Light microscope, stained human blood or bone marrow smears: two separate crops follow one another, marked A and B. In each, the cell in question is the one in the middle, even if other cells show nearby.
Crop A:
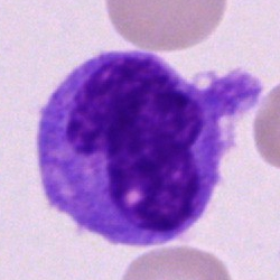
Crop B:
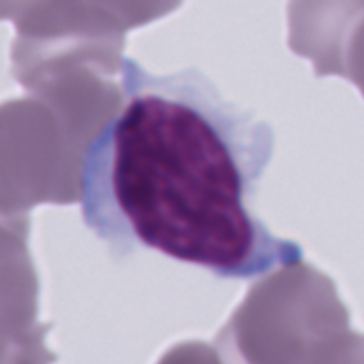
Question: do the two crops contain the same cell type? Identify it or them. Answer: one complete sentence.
No, look again: crop A shows a monocyte, and crop B shows a hairy cell.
